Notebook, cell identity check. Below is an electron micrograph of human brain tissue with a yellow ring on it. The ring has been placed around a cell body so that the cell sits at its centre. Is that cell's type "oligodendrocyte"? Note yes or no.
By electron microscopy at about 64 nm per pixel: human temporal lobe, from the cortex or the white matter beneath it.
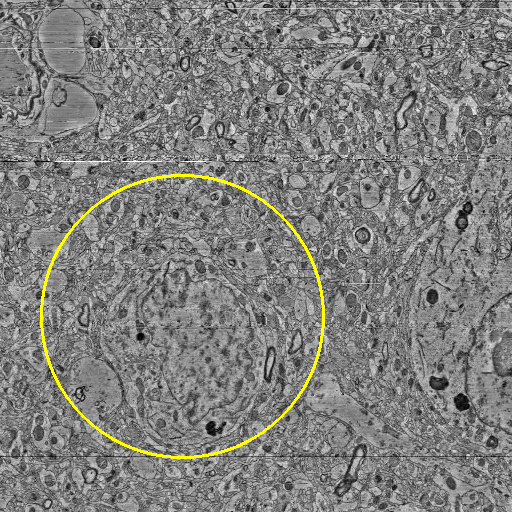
No, its cell type is another one.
